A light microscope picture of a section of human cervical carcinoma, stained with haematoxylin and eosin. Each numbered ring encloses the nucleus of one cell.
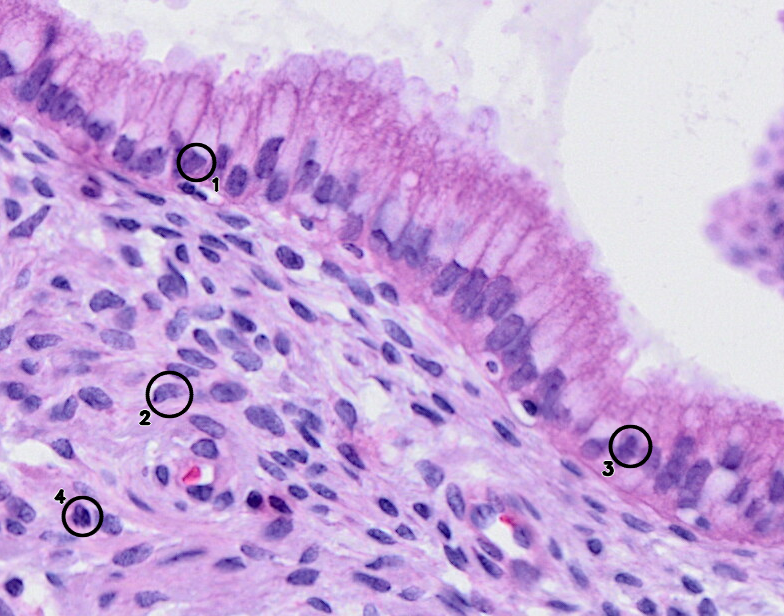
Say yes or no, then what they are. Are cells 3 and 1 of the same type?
Yes, of the numbered cells, 3 and 1 are both secretory epithelial cells.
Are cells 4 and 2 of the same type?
No, rather, cell 4 is a lymphocyte and cell 2 is a fibroblast.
